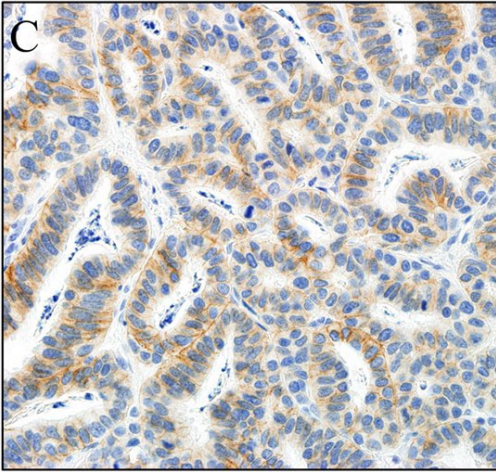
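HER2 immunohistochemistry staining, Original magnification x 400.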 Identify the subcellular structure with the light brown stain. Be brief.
Basolateral and lateral sides of tumour cells.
